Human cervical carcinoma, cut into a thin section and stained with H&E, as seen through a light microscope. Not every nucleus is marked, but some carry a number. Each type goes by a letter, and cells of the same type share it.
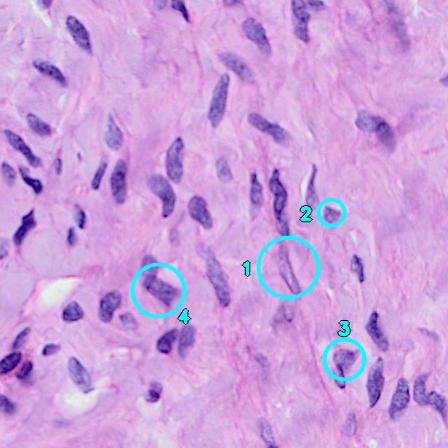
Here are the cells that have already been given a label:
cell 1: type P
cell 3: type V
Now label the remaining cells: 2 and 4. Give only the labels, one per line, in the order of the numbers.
type V
type V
